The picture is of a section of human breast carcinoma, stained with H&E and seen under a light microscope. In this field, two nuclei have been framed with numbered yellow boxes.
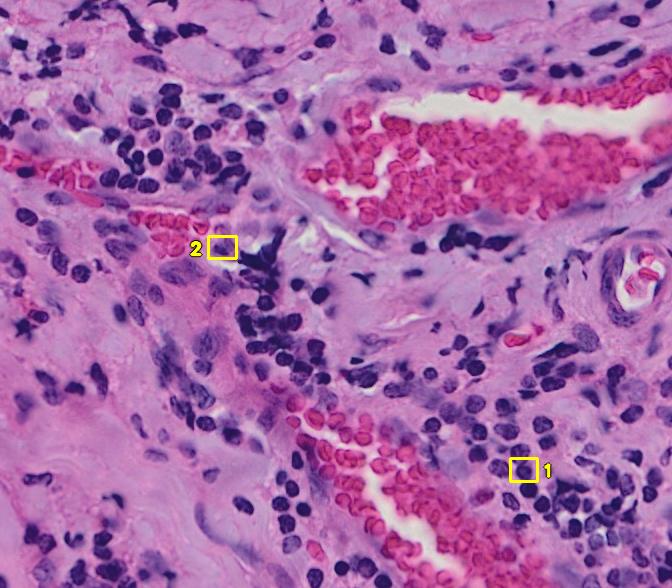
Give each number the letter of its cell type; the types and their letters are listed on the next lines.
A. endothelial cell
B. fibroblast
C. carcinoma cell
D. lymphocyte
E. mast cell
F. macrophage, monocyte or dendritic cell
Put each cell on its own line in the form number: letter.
1: D
2: A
